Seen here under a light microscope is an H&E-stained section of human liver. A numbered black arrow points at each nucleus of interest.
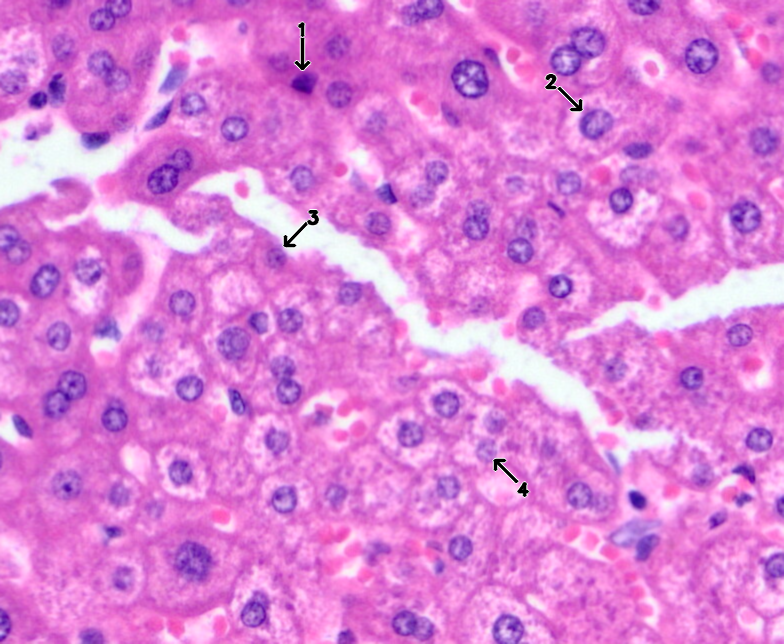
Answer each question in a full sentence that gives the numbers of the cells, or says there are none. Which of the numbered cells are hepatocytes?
Cells 2, 3 and 4 in the section are typed as hepatocytes.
